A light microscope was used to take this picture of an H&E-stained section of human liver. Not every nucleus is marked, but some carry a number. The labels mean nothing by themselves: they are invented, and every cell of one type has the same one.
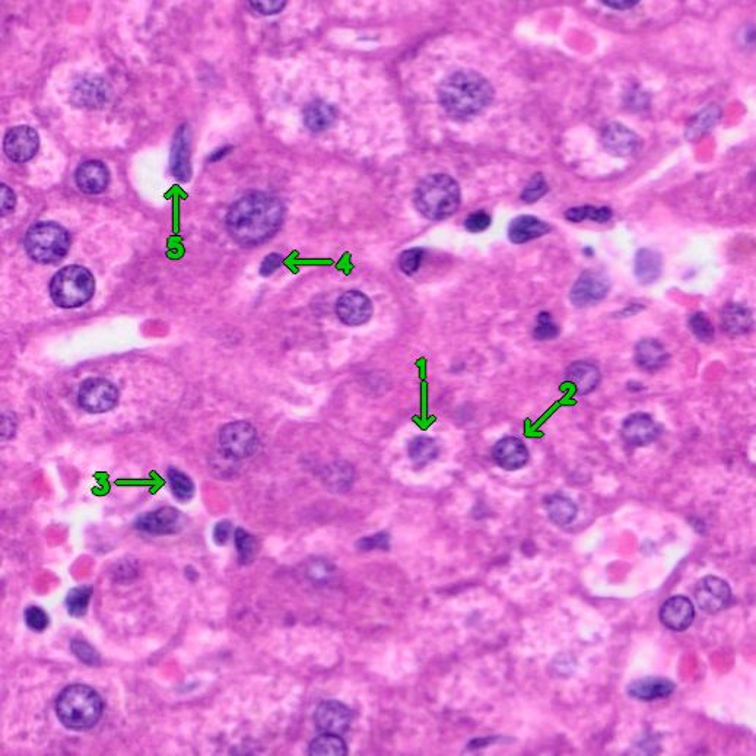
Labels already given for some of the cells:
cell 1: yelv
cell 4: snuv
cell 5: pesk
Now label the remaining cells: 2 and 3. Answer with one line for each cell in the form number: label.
2: yelv
3: snuv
